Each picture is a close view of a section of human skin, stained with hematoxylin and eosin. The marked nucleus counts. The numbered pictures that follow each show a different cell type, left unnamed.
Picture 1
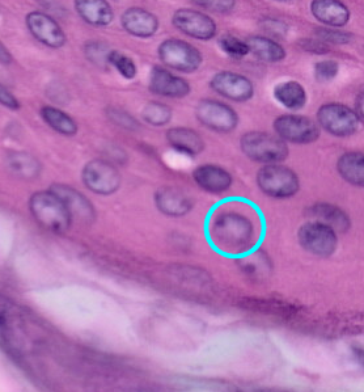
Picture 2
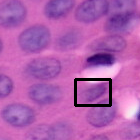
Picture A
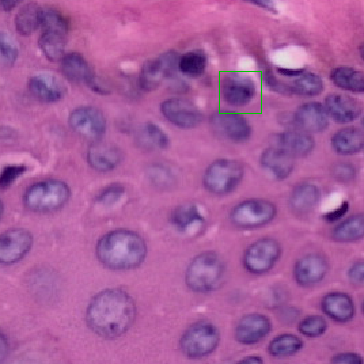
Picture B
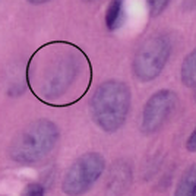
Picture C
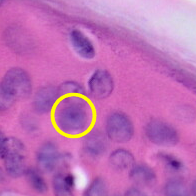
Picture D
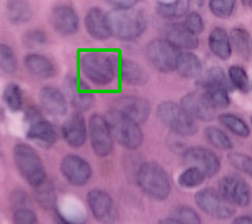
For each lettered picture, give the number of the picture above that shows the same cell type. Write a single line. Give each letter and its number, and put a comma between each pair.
A 2, B 1, C 1, D 2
